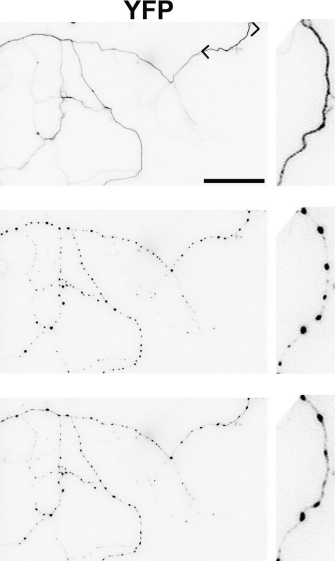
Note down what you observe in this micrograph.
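In the upper image the processes are smooth, thin and continuous, branching across the field with even calibre, as the enlarged strip beside it shows. In the middle and lower images the same arbour is transformed: each process is interrupted by many small, dark, round or oval swellings spaced along its length like beads on a string, with very thin connecting segments between them. The enlarged strips show these beads clearly as swollen varicosities. The beading persists in the lowest image.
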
